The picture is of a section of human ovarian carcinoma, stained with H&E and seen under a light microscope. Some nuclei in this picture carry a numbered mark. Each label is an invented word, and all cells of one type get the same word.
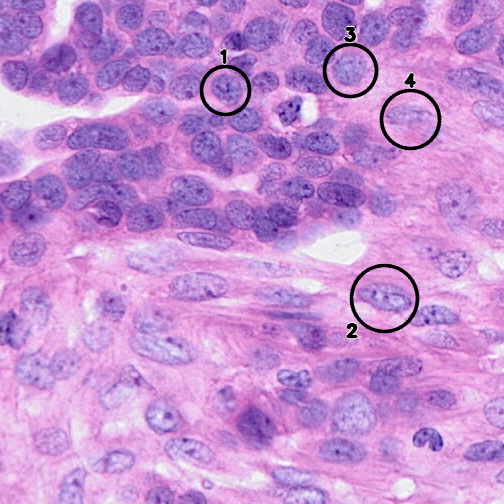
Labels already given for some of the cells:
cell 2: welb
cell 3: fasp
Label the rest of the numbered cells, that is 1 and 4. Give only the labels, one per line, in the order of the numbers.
fasp
welb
